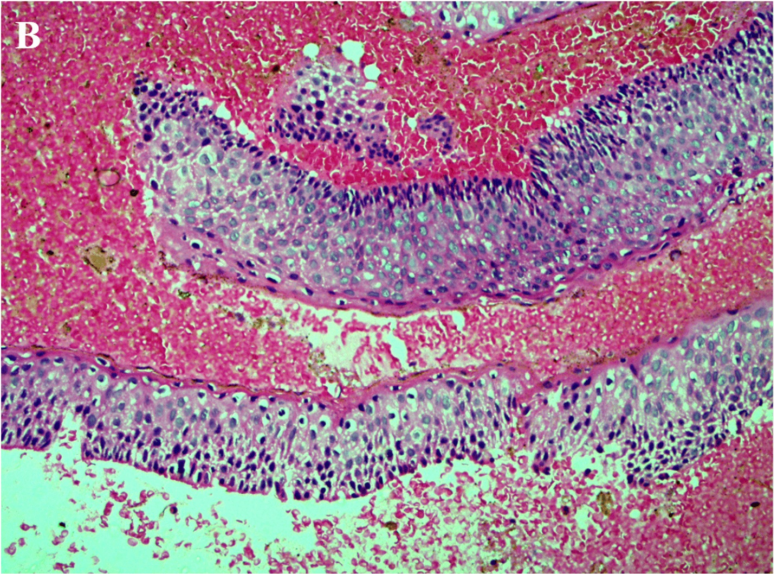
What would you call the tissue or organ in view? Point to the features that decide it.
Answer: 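Parakeratinized stratified squamous epithelium. Bands of epithelium several cells thick with layered cells. A thin pink surface layer lines one side of each band. The bands keep a fairly even thickness along their length.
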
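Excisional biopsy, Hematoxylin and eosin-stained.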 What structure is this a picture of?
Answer: Palisaded basal layer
